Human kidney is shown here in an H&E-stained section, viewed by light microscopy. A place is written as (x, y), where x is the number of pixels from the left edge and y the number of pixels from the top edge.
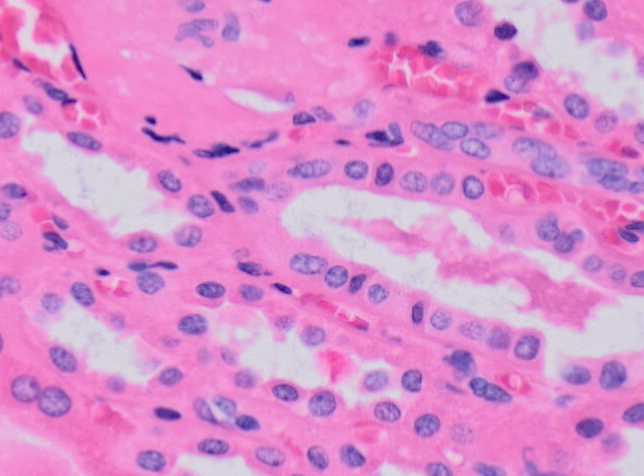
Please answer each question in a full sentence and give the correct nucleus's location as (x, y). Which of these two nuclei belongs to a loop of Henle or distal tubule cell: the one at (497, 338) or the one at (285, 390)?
The nucleus whose cell is a loop of Henle or distal tubule cell is the one at (285, 390).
